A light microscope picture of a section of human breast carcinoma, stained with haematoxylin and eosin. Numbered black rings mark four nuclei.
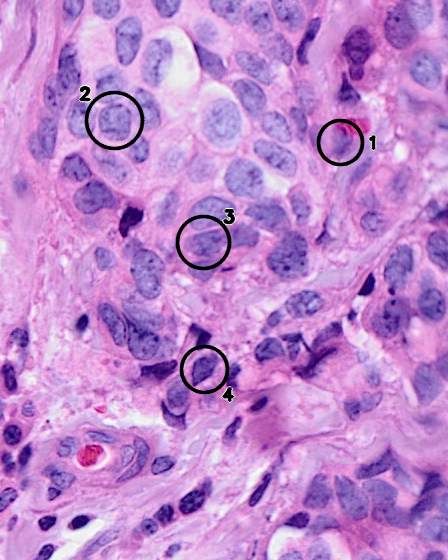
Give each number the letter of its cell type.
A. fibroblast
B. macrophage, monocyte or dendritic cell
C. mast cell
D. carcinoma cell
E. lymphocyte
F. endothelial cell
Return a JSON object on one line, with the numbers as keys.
{"1": "F", "2": "D", "3": "D", "4": "D"}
